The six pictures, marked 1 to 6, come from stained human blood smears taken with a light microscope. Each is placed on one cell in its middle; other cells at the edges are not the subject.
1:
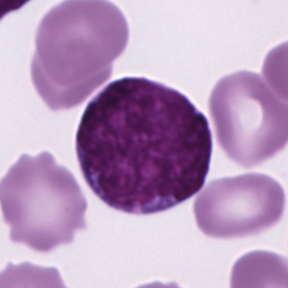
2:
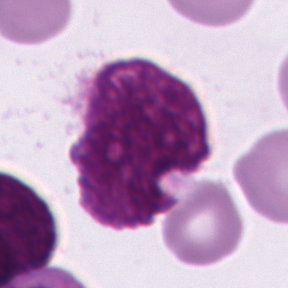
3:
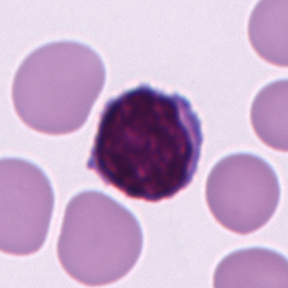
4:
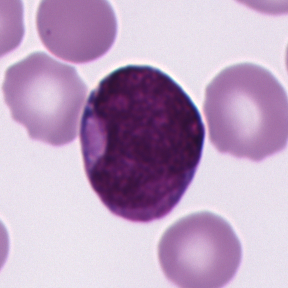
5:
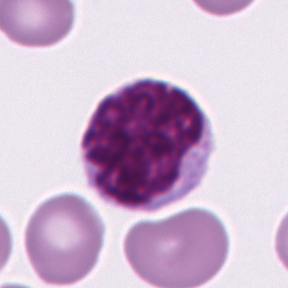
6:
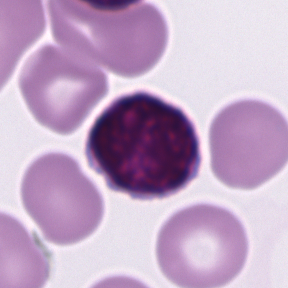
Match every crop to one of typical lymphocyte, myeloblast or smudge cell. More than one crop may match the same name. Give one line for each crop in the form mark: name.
1: myeloblast
2: smudge cell
3: typical lymphocyte
4: myeloblast
5: typical lymphocyte
6: typical lymphocyte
